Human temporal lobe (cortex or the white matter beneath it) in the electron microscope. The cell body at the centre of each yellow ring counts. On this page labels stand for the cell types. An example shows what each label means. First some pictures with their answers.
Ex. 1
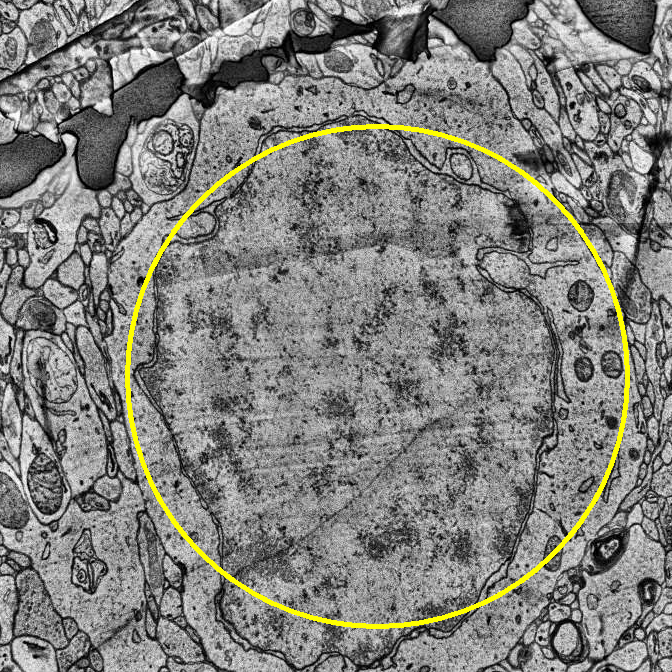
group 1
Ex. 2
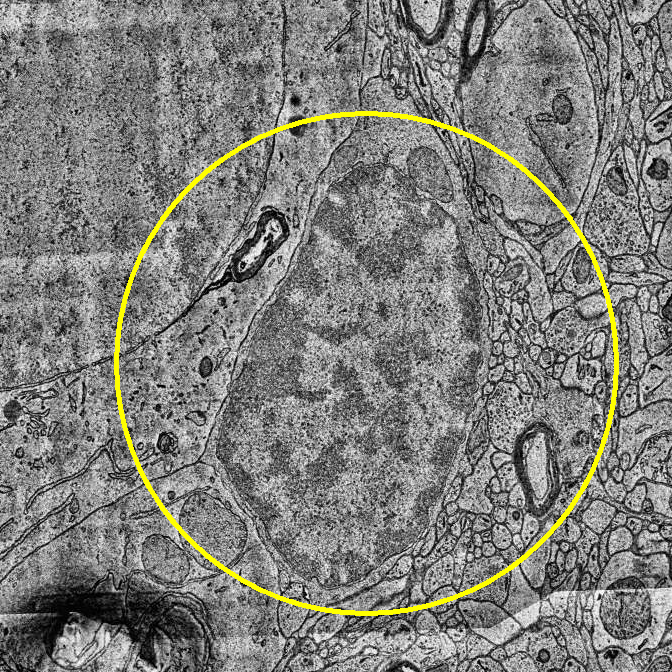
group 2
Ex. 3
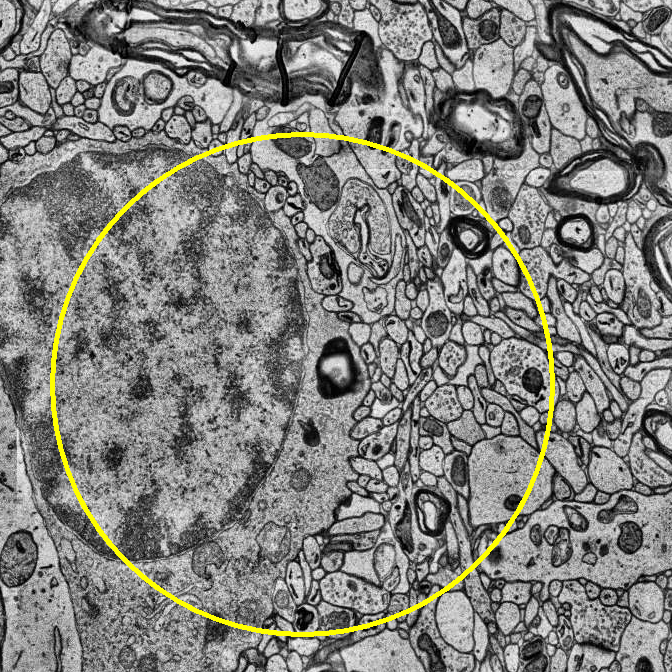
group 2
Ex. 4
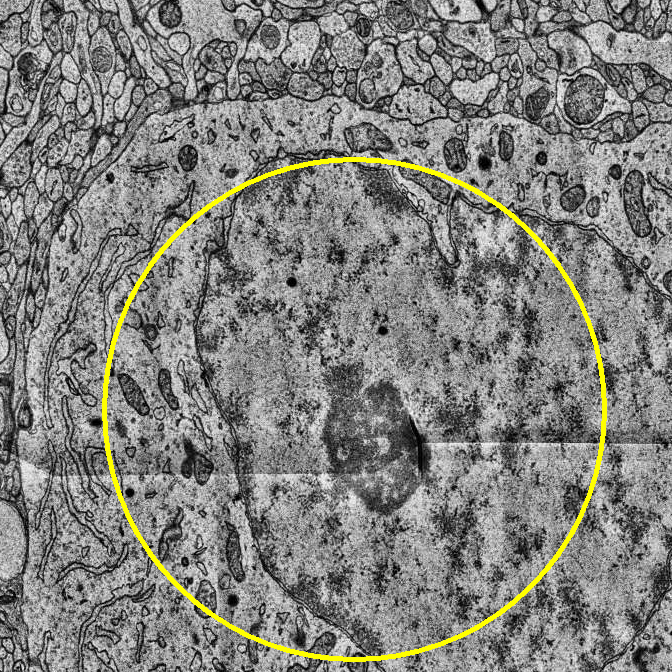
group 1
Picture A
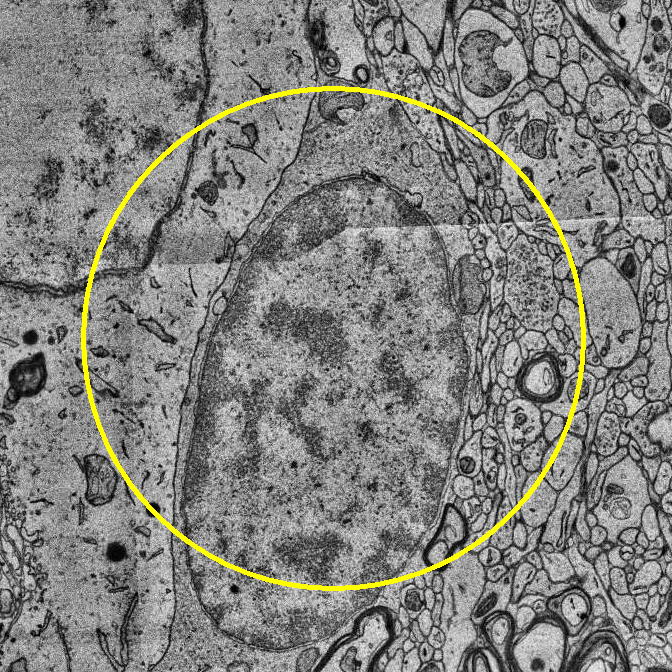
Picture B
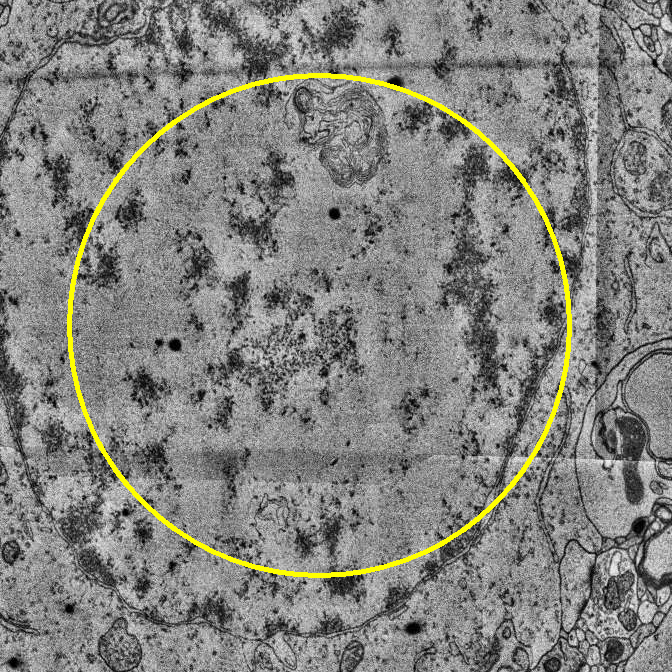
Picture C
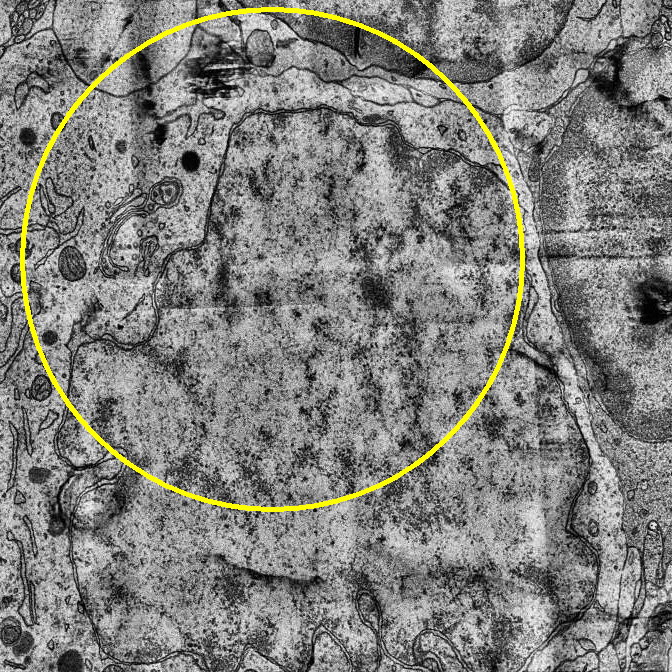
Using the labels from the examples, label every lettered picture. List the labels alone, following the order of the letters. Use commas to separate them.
group 2, group 1, group 1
